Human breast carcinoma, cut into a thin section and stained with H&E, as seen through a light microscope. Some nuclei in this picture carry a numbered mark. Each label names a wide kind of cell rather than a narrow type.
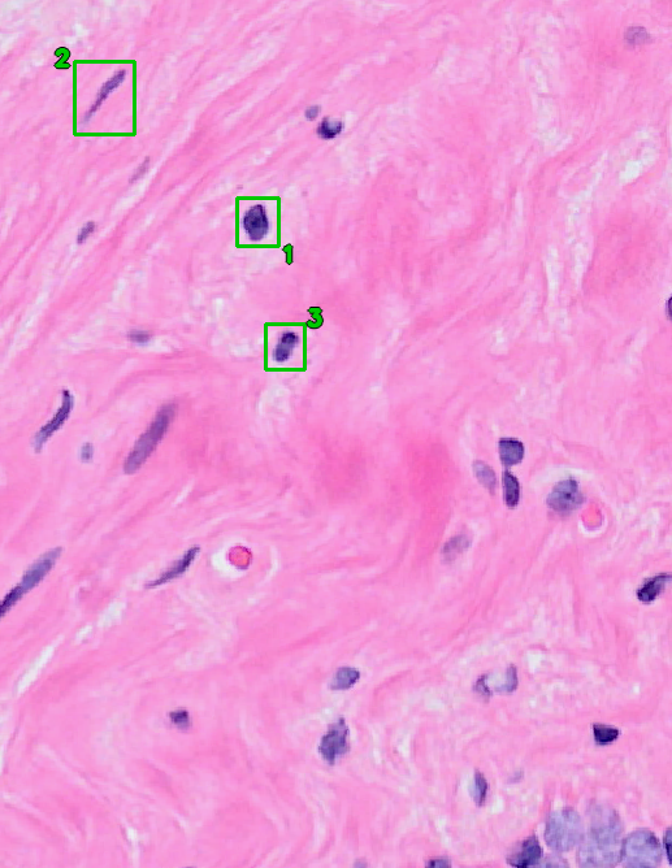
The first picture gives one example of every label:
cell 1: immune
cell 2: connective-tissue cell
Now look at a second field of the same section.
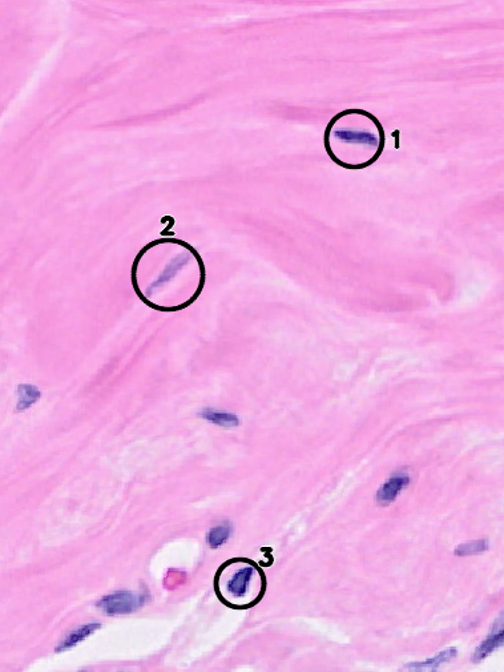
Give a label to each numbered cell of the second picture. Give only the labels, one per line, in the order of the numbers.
connective-tissue cell
connective-tissue cell
immune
